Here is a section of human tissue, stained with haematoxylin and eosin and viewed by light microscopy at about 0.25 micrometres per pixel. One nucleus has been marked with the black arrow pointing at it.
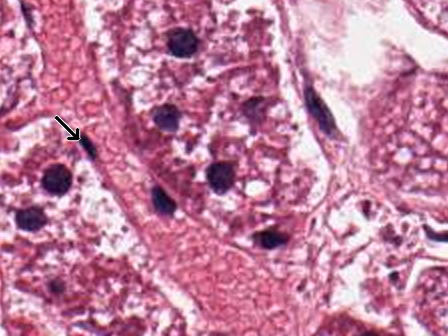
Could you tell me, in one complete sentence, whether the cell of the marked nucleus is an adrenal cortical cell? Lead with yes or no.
No, for the marked nucleus, the owning cell is a supporting cell, not an adrenal cortical cell.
